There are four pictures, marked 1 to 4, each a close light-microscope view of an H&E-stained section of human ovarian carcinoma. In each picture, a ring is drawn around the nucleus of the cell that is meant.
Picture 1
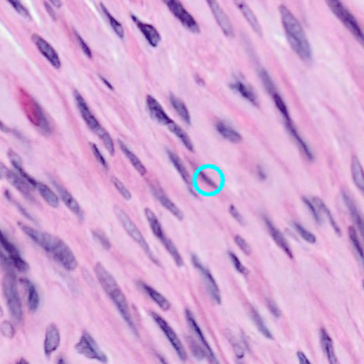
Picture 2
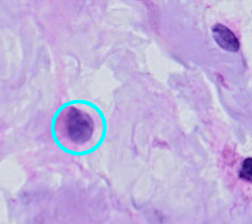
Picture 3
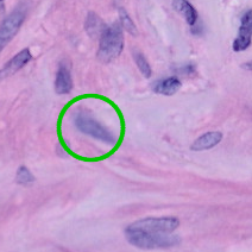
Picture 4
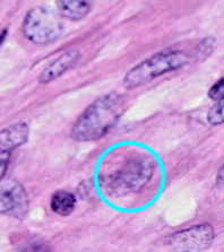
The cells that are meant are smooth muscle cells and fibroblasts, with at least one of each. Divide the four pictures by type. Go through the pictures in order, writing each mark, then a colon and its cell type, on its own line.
1: smooth muscle cell
2: fibroblast
3: smooth muscle cell
4: fibroblast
